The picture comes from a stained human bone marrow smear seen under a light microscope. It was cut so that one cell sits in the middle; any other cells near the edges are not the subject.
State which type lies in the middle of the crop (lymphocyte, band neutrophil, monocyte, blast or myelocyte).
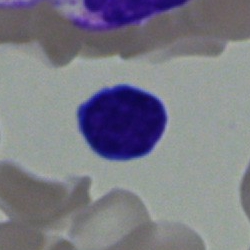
lymphocyte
